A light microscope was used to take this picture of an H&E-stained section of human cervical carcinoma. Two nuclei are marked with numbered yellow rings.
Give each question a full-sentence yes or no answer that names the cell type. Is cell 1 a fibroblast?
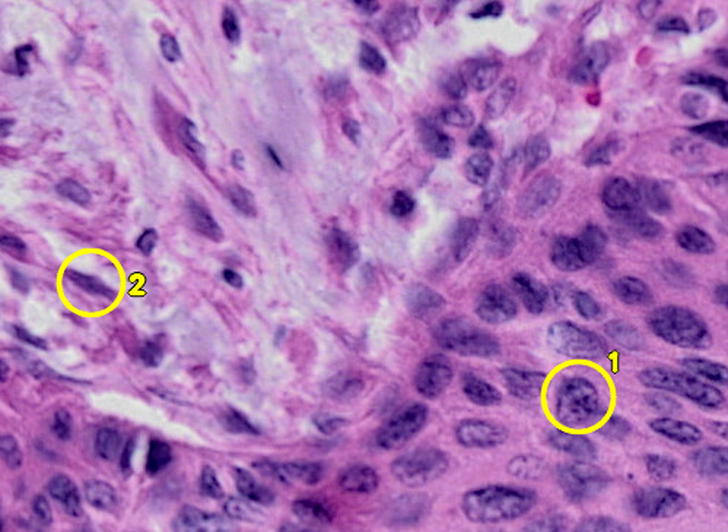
No, the cell bearing the number 1 is a squamous carcinoma cell, not a fibroblast.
